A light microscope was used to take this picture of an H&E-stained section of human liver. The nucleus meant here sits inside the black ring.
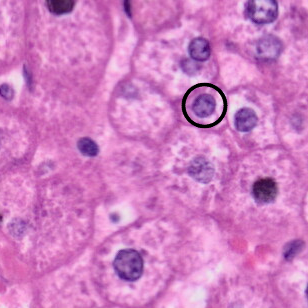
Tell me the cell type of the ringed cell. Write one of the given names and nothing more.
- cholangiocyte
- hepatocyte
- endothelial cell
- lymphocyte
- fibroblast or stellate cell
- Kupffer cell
hepatocyte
